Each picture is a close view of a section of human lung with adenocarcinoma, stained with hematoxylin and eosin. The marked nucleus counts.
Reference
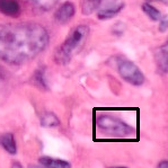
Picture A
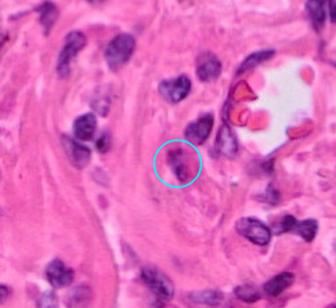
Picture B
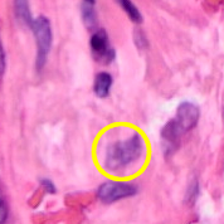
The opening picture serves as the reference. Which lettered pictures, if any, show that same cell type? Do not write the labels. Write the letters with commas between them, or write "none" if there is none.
B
